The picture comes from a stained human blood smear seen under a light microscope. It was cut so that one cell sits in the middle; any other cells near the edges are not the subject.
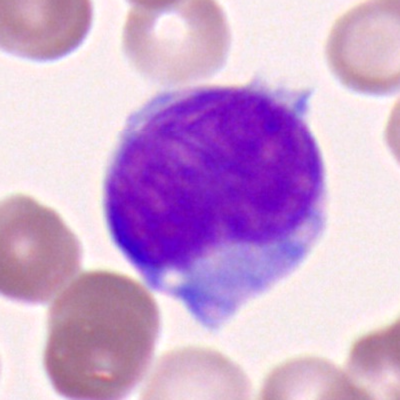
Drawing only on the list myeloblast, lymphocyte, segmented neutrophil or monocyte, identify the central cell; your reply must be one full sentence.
At the middle of the frame sits a myeloblast.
